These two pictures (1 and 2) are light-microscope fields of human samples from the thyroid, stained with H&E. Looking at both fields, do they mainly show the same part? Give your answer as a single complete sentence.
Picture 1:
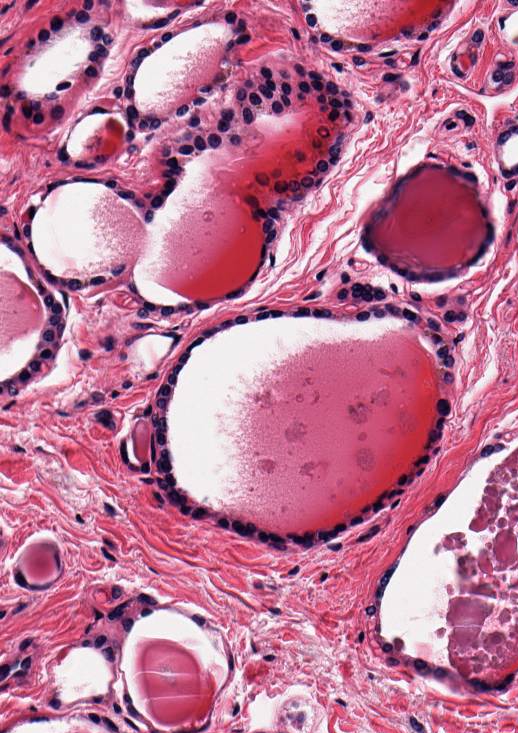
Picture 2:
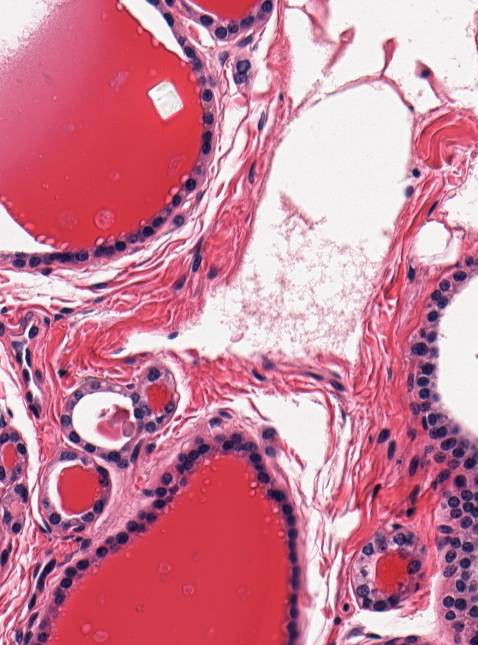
Yes, both mainly show thyroid follicles.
